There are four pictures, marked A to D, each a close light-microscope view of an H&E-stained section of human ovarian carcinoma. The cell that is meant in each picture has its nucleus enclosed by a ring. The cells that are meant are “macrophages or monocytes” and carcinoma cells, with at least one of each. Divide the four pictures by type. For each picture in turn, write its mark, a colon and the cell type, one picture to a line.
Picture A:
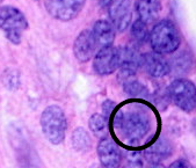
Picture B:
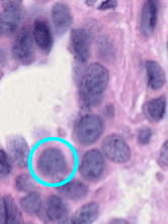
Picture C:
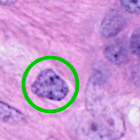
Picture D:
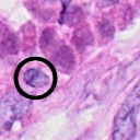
A: carcinoma cell
B: carcinoma cell
C: macrophage or monocyte
D: macrophage or monocyte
